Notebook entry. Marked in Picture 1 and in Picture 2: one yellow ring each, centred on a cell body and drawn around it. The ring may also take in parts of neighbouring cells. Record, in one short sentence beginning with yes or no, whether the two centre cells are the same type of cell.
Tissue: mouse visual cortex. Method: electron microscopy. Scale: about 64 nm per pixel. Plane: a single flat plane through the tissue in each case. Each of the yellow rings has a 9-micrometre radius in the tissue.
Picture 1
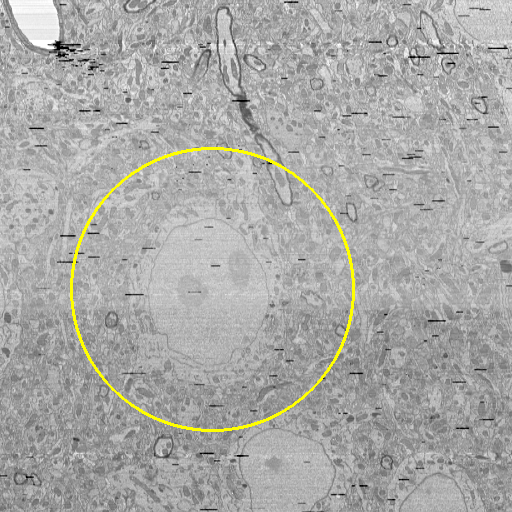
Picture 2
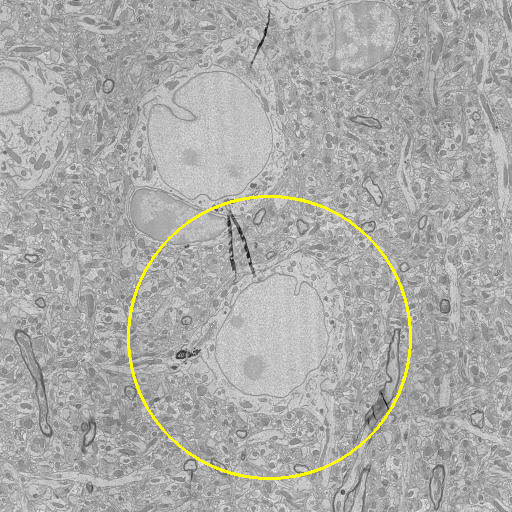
Yes, both are the same type of cell.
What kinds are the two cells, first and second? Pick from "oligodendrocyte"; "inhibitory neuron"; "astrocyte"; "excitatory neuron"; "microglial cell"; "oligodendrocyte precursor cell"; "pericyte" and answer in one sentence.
Each one of the two ringed cells is an excitatory neuron.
